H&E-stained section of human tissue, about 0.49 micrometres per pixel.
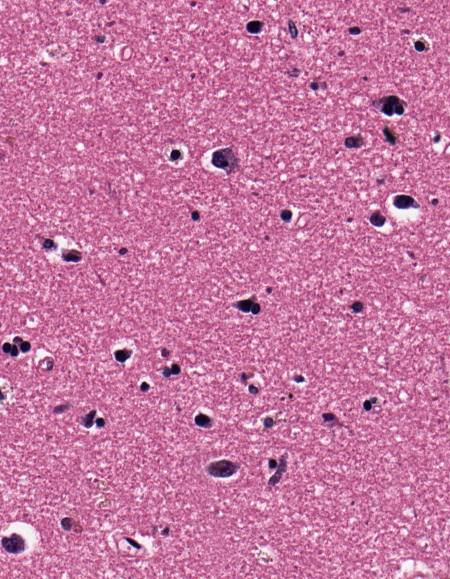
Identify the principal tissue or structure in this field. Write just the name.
cerebral cortex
